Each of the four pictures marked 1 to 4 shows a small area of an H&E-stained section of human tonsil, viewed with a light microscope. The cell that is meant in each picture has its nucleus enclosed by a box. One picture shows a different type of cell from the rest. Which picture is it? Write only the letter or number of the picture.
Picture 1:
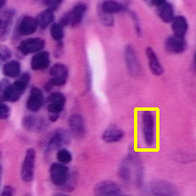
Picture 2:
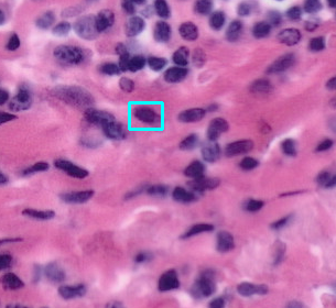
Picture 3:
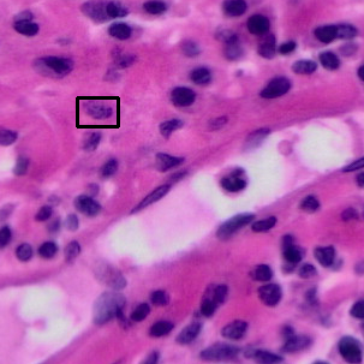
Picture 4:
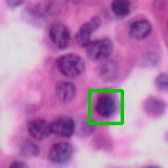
4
